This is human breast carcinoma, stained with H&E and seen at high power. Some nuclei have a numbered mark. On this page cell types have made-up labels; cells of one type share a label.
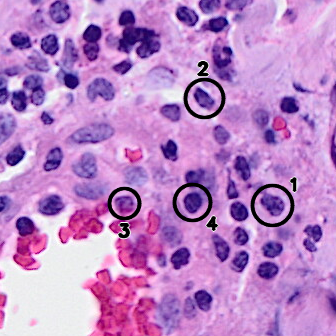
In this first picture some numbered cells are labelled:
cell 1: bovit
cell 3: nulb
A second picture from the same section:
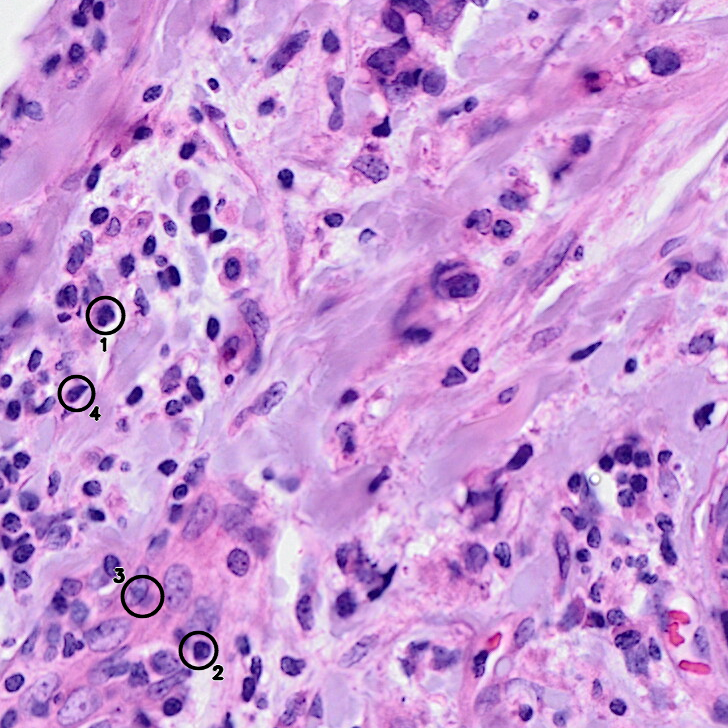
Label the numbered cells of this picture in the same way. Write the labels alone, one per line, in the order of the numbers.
bovit
bovit
nulb
bovit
